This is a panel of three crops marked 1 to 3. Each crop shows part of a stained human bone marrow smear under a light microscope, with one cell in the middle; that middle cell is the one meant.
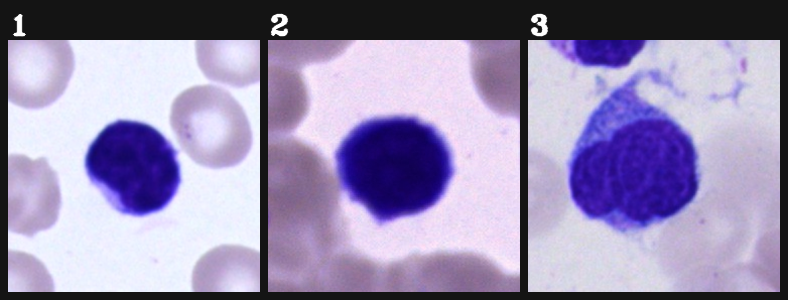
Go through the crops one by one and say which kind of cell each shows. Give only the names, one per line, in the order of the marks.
lymphocyte
lymphocyte
monocyte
